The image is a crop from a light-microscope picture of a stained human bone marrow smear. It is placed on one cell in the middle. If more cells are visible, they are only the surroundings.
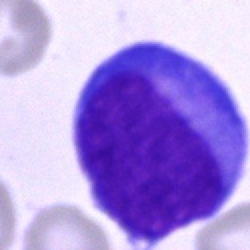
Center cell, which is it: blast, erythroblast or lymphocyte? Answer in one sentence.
As for the central cell, it is a blast.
